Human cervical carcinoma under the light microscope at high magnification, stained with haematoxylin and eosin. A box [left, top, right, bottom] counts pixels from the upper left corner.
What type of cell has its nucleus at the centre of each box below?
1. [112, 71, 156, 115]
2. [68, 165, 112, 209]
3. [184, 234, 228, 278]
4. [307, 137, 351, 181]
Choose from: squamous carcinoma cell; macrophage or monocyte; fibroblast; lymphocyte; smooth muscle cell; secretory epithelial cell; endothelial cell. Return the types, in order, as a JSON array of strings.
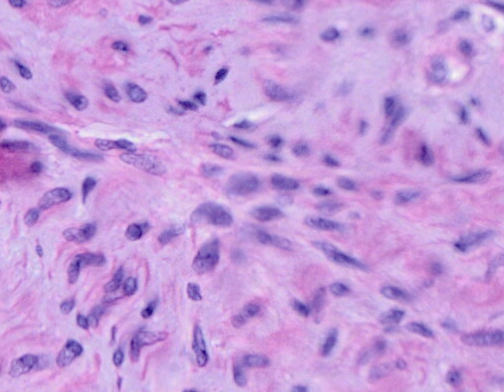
["smooth muscle cell", "fibroblast", "fibroblast", "smooth muscle cell"]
